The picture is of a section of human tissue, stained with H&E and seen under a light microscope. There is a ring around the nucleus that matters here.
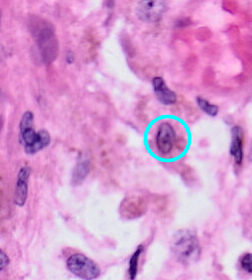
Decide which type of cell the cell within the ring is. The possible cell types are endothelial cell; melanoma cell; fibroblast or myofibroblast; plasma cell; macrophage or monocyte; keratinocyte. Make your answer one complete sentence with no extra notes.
In this field of tissue, the cell within the ring is a macrophage or monocyte.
